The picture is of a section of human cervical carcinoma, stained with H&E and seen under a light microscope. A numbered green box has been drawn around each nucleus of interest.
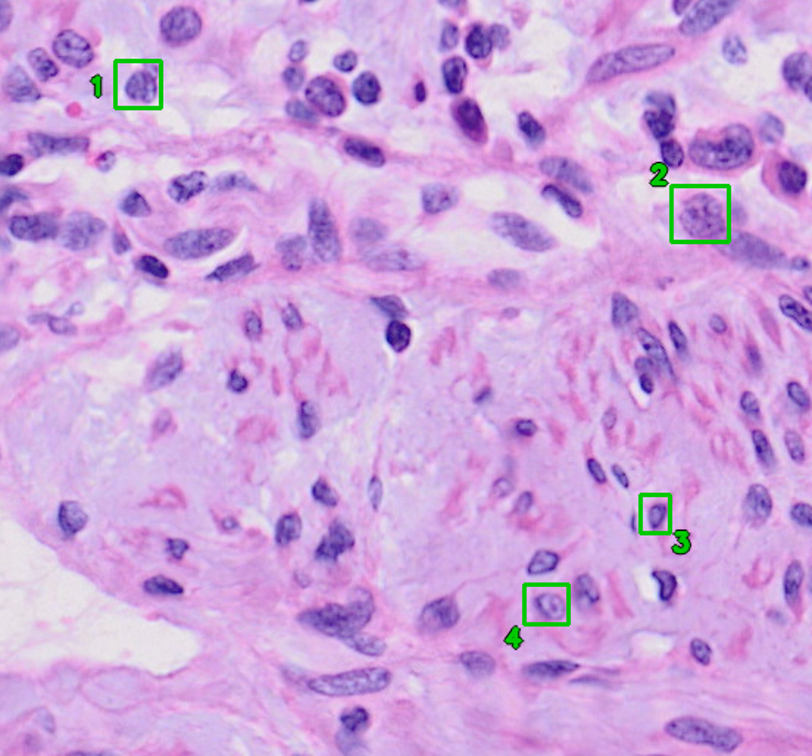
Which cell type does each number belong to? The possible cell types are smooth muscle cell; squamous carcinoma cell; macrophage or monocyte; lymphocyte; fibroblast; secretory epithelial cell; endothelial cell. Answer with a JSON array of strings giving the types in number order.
["lymphocyte", "macrophage or monocyte", "smooth muscle cell", "smooth muscle cell"]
